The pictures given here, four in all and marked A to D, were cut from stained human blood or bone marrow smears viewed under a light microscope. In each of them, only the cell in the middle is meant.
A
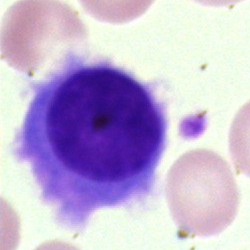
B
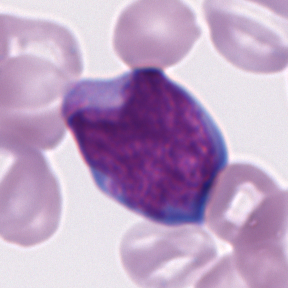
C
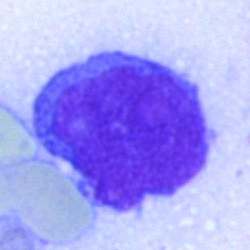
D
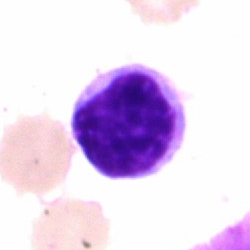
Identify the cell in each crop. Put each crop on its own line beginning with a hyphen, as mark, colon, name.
- A: hairy cell
- B: blast
- C: blast
- D: lymphocyte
